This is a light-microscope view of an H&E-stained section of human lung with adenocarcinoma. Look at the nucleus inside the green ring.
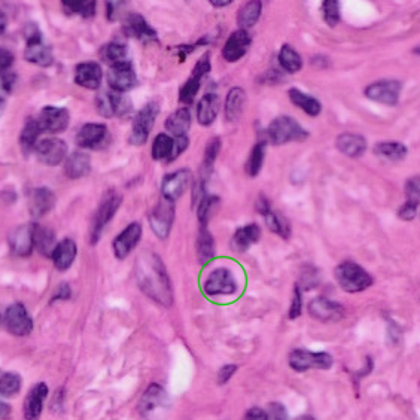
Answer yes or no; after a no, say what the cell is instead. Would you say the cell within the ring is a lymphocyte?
Yes.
